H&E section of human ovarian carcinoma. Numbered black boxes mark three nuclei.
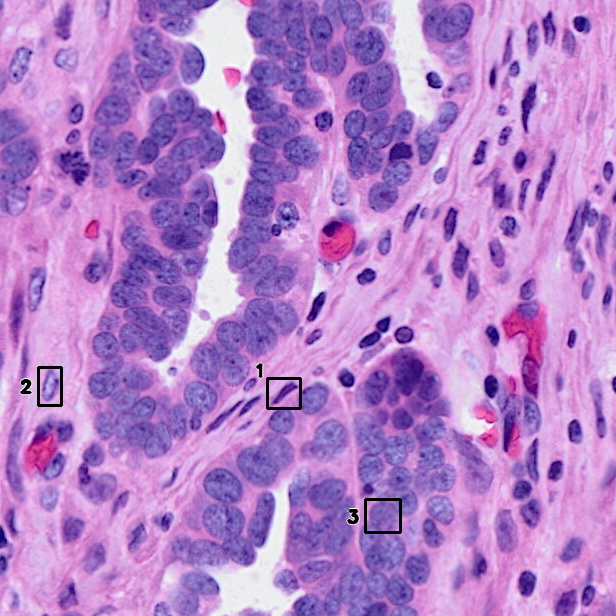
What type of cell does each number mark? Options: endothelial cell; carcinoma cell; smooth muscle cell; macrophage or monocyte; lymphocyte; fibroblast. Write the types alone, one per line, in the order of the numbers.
fibroblast
fibroblast
carcinoma cell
